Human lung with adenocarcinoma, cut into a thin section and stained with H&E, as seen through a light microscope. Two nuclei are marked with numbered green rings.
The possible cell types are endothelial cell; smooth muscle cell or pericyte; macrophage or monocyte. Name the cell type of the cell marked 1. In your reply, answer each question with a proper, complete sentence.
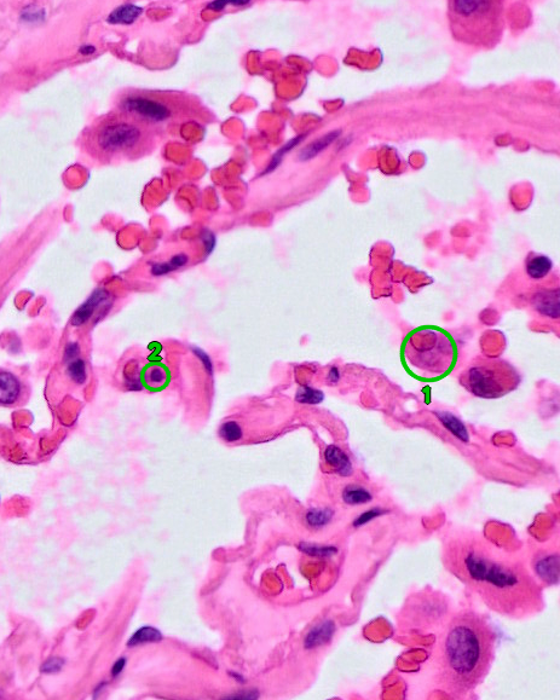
The cell that bears the number 1 is a macrophage or monocyte.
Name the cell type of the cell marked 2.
The cell that goes by number 2 is an endothelial cell.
